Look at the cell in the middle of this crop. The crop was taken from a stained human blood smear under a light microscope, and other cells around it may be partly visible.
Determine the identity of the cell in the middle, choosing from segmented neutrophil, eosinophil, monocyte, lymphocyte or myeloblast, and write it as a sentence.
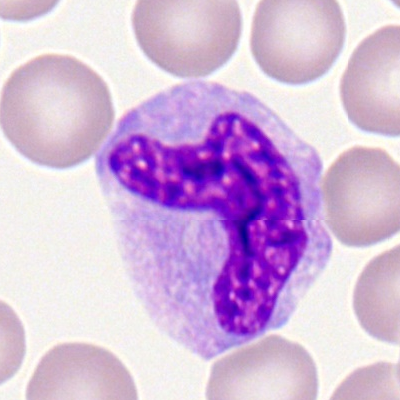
The cell positioned in the middle of the field is a monocyte.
